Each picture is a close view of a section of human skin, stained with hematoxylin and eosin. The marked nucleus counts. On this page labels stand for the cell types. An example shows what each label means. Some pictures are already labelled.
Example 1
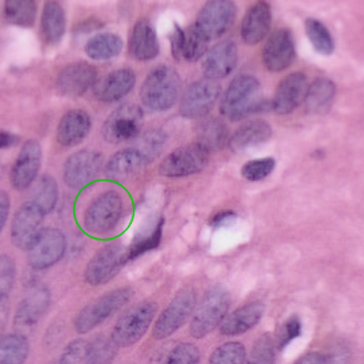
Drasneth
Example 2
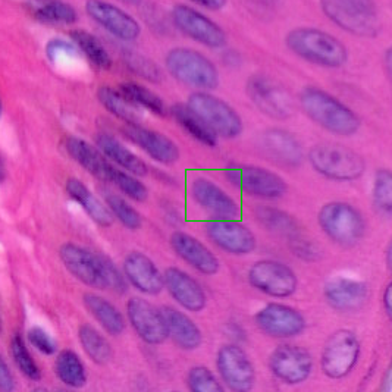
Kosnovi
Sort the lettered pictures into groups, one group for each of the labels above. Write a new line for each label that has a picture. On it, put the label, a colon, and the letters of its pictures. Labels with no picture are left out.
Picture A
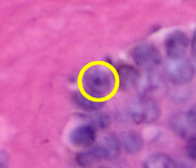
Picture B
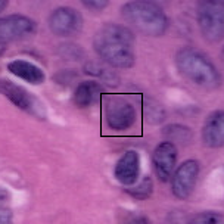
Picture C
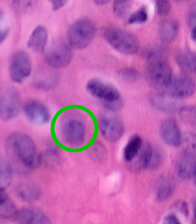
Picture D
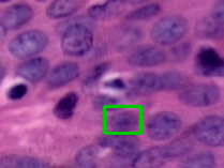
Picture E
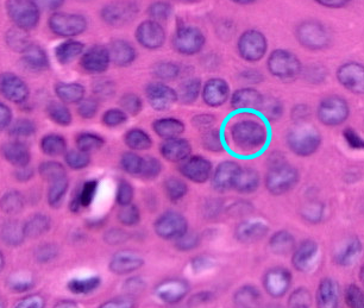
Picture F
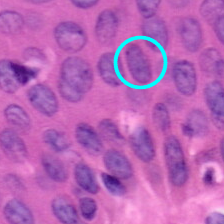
Drasneth: A, B, C, D
Kosnovi: E, F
